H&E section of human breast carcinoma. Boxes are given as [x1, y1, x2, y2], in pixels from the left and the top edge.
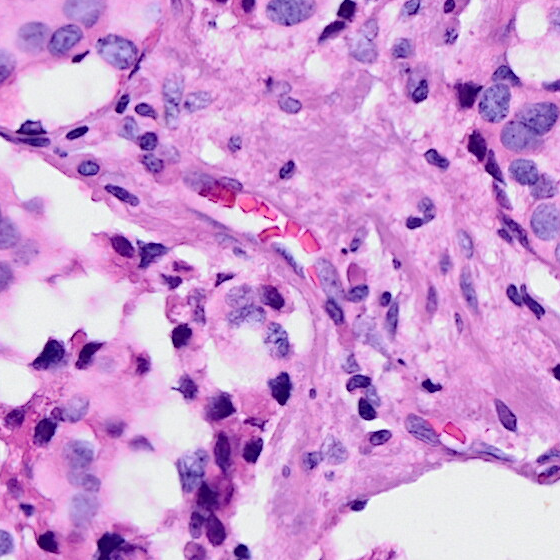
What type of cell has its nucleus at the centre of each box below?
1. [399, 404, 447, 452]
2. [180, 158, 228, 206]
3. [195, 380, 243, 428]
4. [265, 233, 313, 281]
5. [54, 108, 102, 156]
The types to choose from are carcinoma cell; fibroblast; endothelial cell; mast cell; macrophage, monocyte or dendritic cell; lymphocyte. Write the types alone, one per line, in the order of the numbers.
endothelial cell
endothelial cell
carcinoma cell
endothelial cell
lymphocyte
